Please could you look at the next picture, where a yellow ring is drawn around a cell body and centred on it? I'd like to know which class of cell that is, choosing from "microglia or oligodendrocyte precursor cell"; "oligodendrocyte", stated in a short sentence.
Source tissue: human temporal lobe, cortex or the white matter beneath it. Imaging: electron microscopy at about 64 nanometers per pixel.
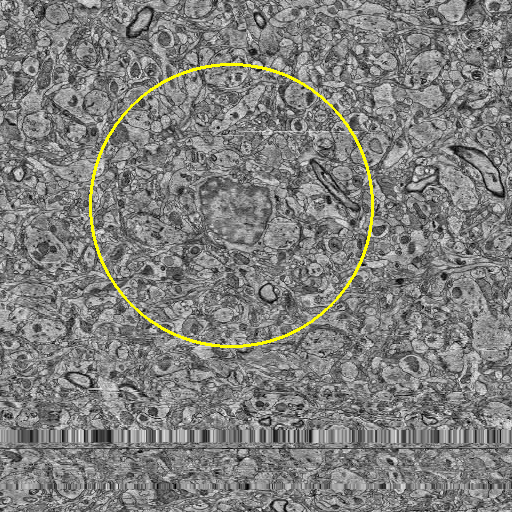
The ring's centre lies on an oligodendrocyte.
